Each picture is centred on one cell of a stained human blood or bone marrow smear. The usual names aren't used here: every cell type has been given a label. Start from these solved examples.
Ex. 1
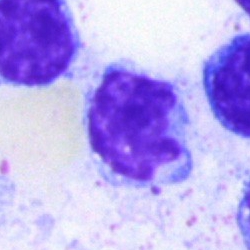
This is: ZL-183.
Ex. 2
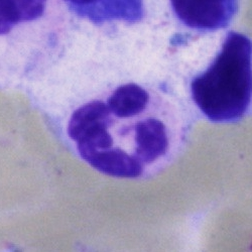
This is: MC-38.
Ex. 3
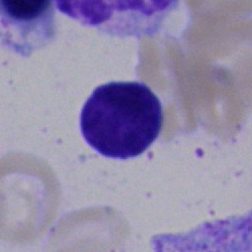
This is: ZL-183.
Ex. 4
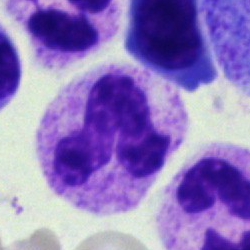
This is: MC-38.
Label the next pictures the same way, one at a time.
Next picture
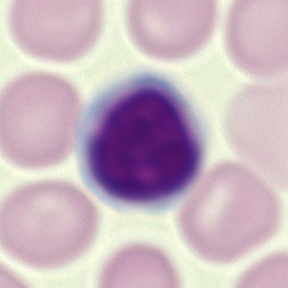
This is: ZL-183.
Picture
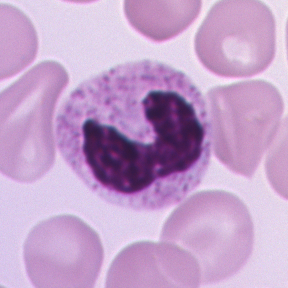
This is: MC-38.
